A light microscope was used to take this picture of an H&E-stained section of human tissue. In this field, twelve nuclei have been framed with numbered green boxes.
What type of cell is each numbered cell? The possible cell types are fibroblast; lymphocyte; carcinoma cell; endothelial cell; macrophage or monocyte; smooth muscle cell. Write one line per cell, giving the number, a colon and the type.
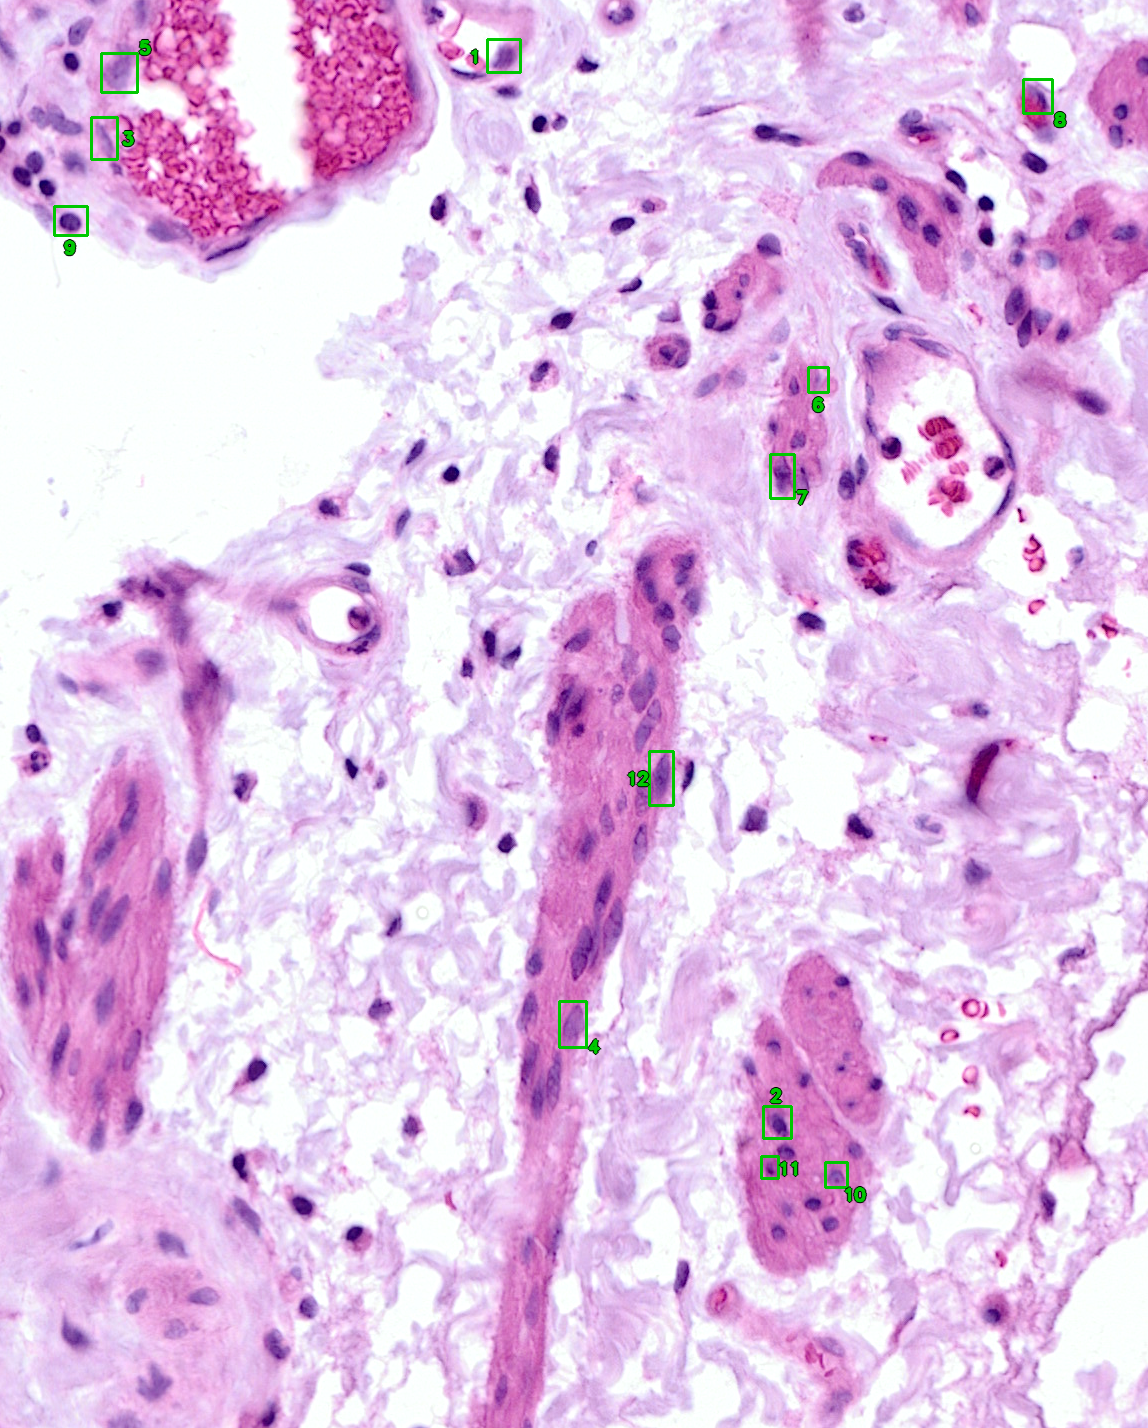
1: endothelial cell
2: smooth muscle cell
3: endothelial cell
4: smooth muscle cell
5: endothelial cell
6: smooth muscle cell
7: smooth muscle cell
8: endothelial cell
9: lymphocyte
10: smooth muscle cell
11: smooth muscle cell
12: smooth muscle cell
